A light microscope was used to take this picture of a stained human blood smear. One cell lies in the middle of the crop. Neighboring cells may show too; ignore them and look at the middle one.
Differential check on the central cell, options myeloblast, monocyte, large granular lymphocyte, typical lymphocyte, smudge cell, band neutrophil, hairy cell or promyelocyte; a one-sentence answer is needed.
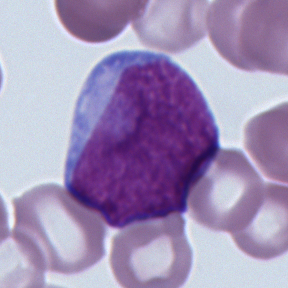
By type, the central cell of the crop is a myeloblast.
